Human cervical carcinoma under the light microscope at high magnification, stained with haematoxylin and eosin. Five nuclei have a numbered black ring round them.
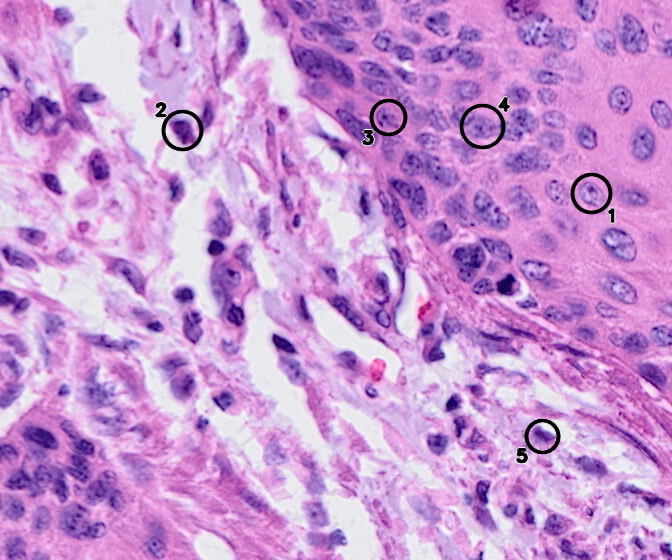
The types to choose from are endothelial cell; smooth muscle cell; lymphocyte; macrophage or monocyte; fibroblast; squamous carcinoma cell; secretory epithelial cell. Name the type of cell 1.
squamous carcinoma cell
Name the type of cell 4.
squamous carcinoma cell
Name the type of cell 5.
fibroblast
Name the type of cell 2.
macrophage or monocyte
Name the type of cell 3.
squamous carcinoma cell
